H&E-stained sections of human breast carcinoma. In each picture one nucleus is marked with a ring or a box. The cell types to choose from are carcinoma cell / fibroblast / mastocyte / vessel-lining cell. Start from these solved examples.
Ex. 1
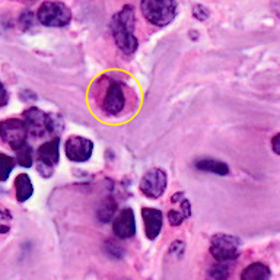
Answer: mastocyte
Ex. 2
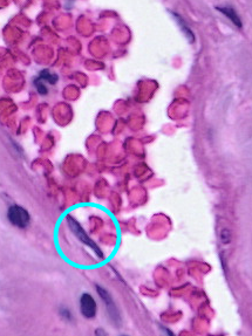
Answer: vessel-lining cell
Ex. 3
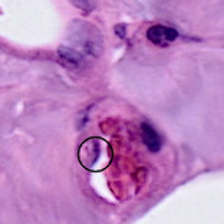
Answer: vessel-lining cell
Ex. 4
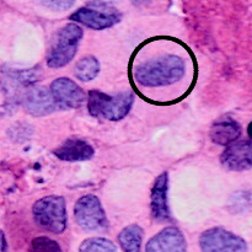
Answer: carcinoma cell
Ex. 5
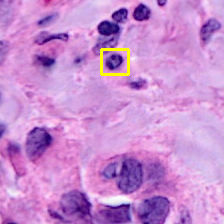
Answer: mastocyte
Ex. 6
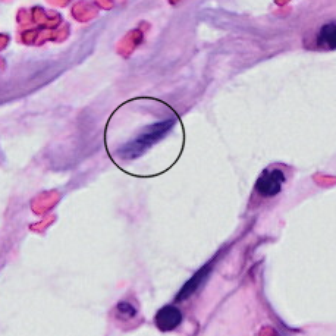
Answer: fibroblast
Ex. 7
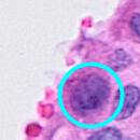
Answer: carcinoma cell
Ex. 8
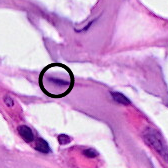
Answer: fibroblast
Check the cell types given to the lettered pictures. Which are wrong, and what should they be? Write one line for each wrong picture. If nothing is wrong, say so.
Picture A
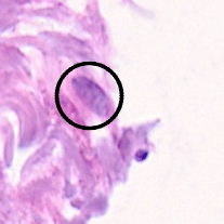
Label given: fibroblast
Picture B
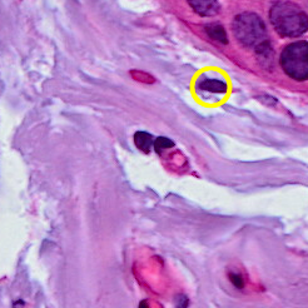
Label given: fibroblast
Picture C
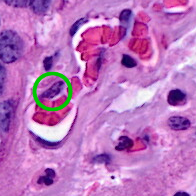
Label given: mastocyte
Wrong: C (mastocyte); correct: vessel-lining cell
